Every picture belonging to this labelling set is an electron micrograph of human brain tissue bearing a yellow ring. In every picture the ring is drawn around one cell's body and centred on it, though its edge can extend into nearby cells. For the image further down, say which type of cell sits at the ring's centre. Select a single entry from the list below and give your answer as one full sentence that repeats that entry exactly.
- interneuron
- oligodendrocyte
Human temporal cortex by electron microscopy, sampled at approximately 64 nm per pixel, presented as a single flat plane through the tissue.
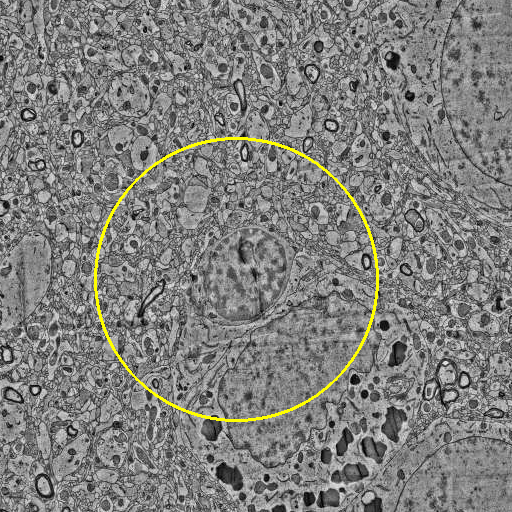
In the picture, an oligodendrocyte is the cell at the centre of the yellow ring.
